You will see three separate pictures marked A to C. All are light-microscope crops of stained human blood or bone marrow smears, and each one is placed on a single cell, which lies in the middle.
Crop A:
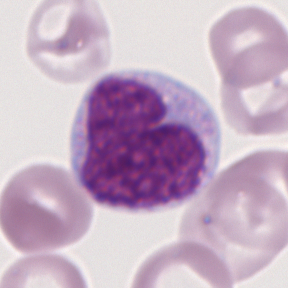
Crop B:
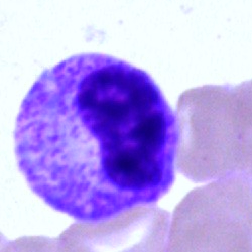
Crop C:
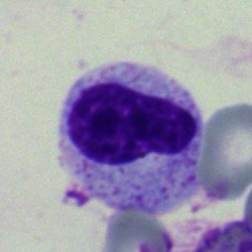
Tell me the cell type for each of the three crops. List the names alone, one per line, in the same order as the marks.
monocyte
metamyelocyte
metamyelocyte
